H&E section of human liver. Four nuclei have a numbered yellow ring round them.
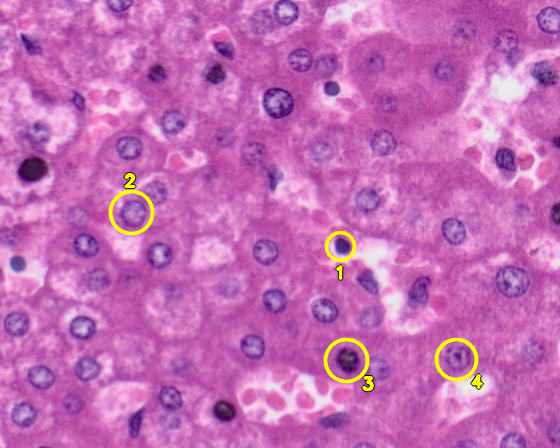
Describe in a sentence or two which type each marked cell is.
Cell 1 is a lymphocyte, cell 2 is a hepatocyte, cell 3 is a hepatocyte and cell 4 is a hepatocyte.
